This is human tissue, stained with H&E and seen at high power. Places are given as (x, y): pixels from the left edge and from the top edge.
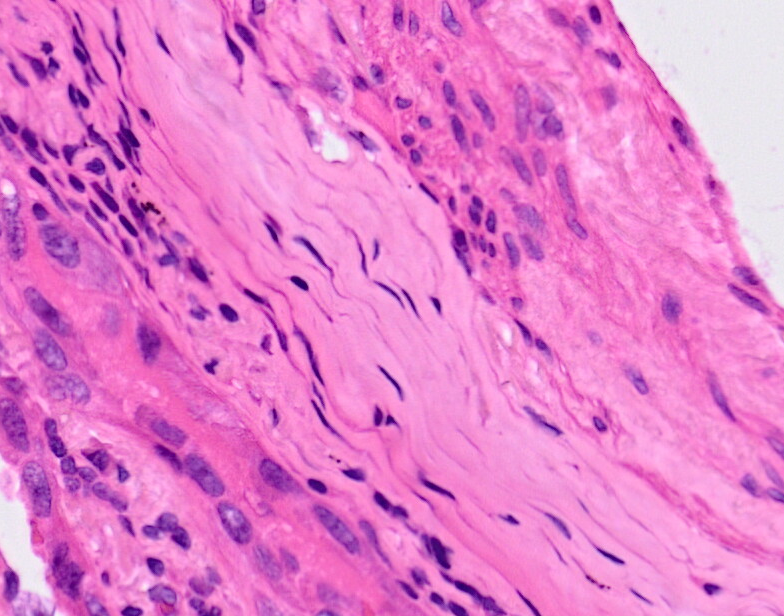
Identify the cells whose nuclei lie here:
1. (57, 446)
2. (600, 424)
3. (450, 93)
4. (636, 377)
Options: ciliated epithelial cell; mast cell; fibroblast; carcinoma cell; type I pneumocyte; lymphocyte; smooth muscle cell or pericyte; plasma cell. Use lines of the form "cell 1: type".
cell 1: lymphocyte
cell 2: smooth muscle cell or pericyte
cell 3: smooth muscle cell or pericyte
cell 4: smooth muscle cell or pericyte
